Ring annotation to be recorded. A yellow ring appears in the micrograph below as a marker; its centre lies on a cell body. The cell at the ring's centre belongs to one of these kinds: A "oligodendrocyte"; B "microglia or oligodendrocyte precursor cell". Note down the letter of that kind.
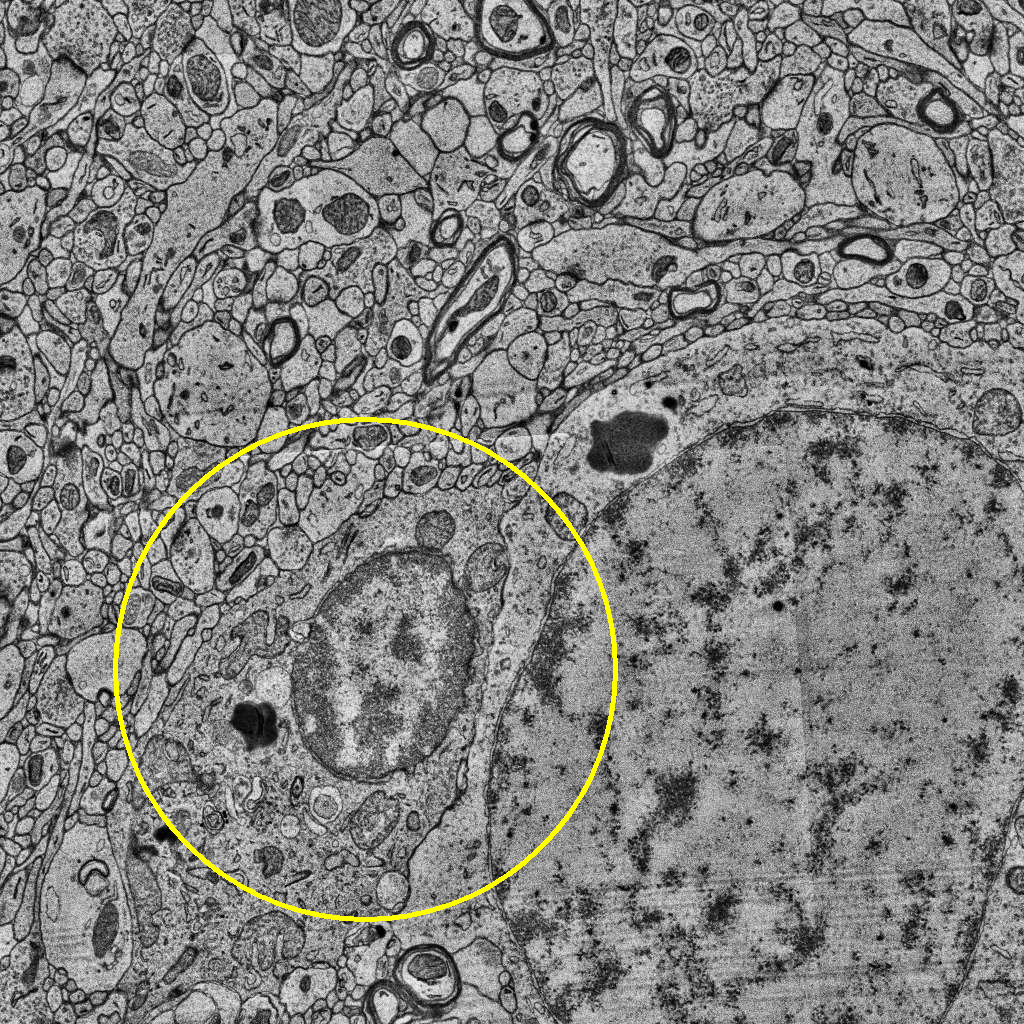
A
